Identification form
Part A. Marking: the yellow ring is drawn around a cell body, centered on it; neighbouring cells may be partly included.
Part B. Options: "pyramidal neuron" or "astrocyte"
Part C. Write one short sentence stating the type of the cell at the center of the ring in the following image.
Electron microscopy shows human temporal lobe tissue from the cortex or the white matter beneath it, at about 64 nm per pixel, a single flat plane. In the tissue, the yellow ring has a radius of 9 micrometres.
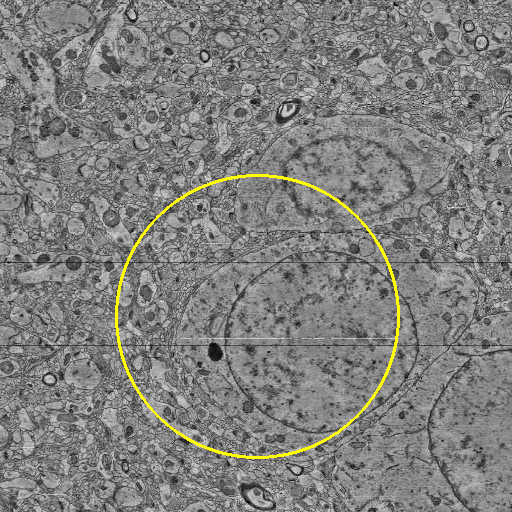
The center of the ring holds a pyramidal neuron.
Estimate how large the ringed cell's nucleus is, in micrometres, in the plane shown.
Approximately 12 micrometres across, in this plane.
